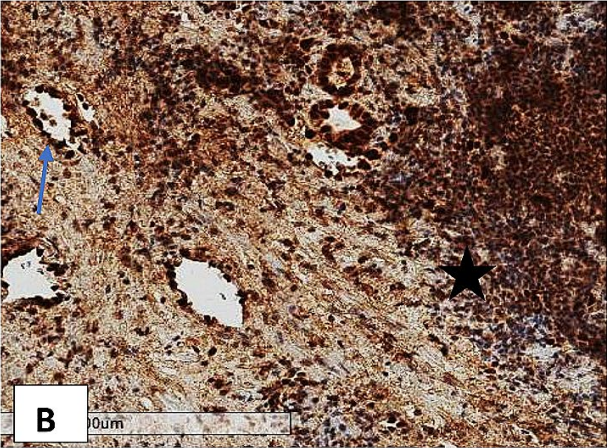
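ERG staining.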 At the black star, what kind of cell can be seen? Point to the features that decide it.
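The star sits in a dense sheet of small, closely packed round cells.
Answer: lymphocytes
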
